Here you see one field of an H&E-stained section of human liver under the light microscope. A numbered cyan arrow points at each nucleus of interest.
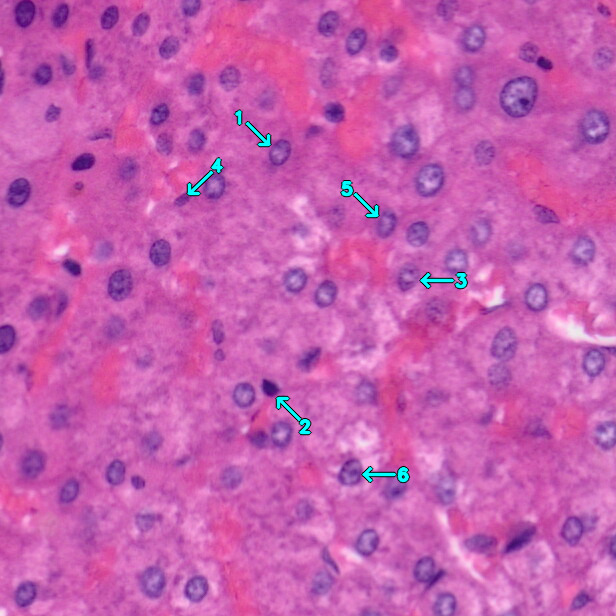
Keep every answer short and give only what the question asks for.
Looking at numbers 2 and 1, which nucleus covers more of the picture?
1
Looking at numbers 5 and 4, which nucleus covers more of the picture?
5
